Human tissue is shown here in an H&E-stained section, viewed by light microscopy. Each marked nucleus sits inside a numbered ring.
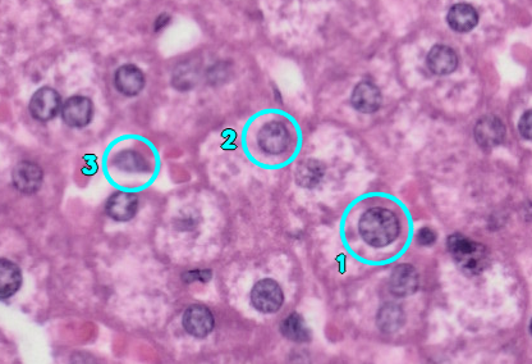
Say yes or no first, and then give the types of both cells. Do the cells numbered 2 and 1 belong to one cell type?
Yes, cells 2 and 1 are both counted as hepatocytes.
